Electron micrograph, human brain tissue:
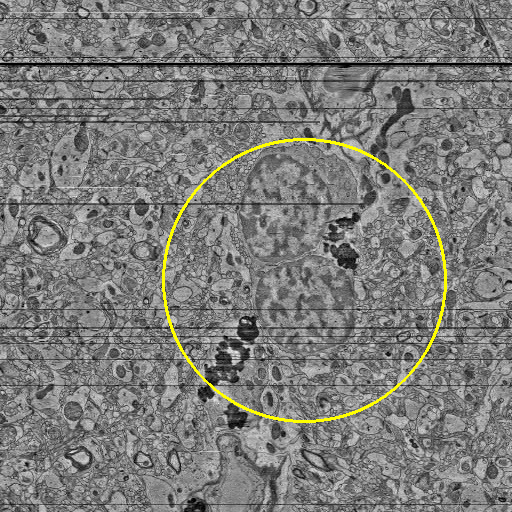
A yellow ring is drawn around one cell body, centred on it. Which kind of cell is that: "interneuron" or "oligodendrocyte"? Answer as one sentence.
It is an oligodendrocyte at the centre of the ring.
